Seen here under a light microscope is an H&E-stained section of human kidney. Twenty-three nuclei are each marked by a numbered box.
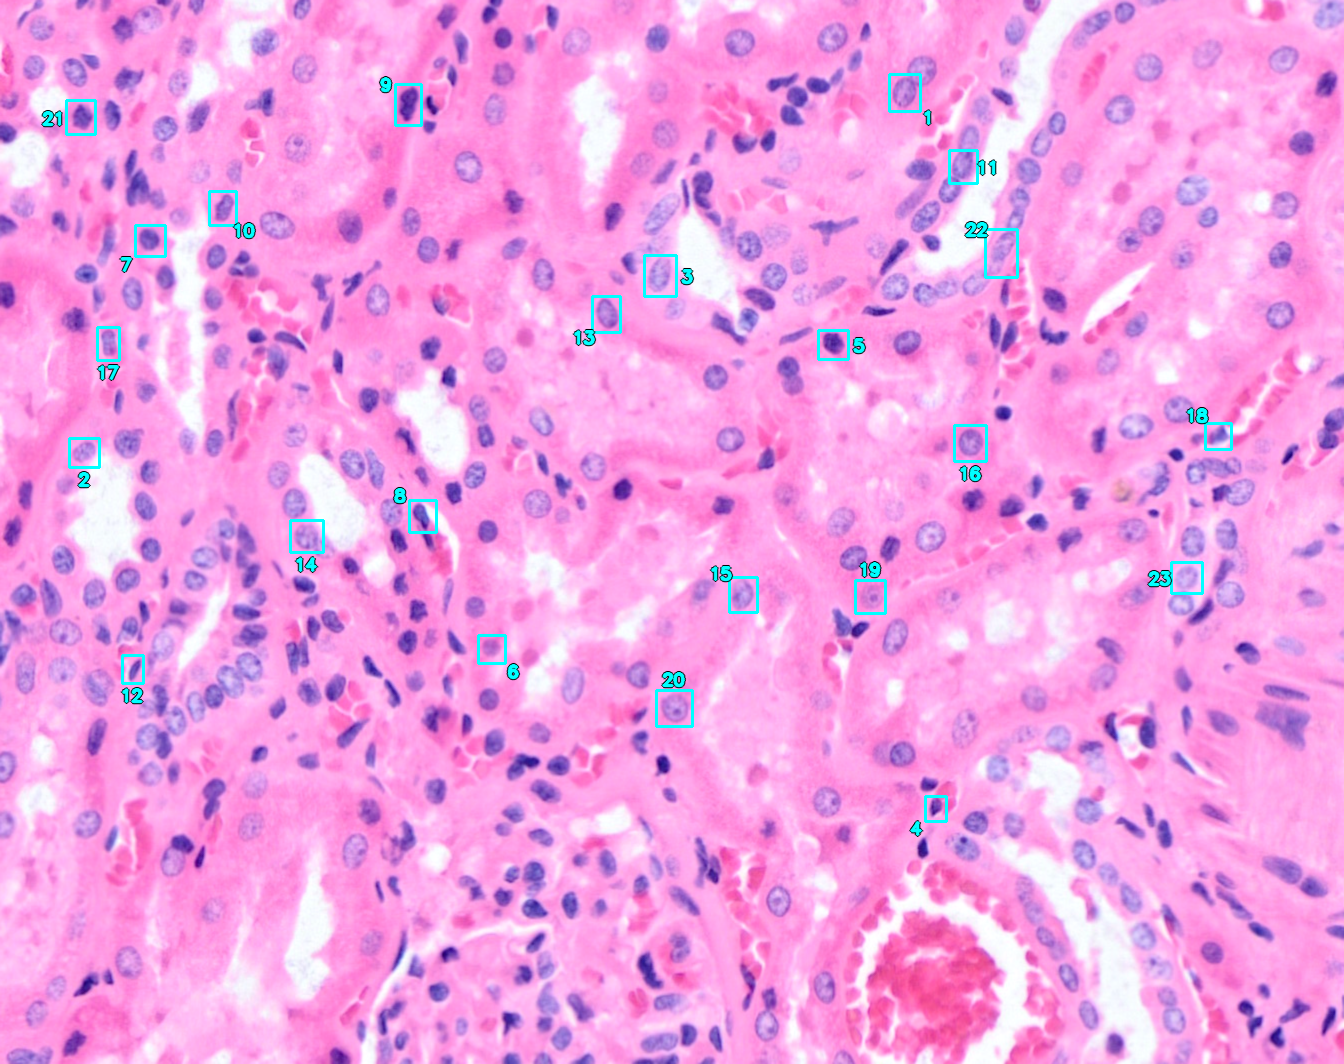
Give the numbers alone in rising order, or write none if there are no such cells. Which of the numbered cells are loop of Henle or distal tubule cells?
2, 7, 10, 14, 21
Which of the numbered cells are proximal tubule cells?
1, 5, 6, 9, 13, 15, 16, 19, 20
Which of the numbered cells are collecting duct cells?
3, 11, 22, 23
